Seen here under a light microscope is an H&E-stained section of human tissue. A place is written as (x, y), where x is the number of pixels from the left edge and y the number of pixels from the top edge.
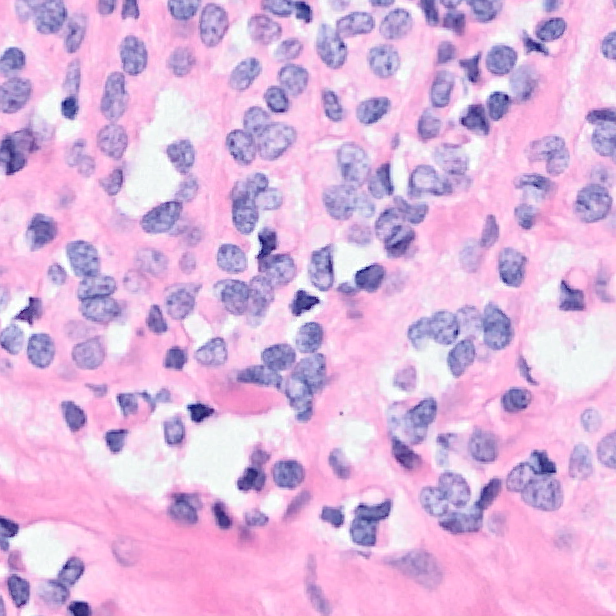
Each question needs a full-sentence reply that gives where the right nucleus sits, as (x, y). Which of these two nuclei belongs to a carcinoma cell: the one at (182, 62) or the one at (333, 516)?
It is at (182, 62) that the nucleus of a carcinoma cell is found.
